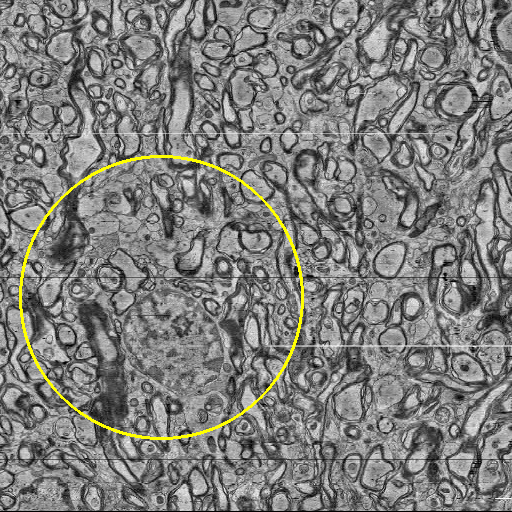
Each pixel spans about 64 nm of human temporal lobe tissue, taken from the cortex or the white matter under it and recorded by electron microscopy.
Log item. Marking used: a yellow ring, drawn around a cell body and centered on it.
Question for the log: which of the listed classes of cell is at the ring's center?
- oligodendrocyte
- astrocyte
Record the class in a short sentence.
At the center of the ring lies an oligodendrocyte.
